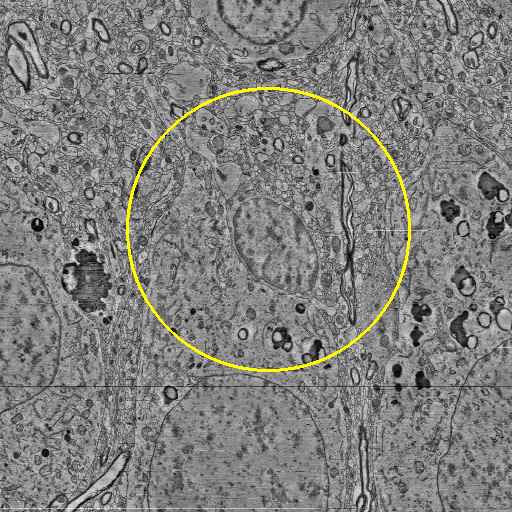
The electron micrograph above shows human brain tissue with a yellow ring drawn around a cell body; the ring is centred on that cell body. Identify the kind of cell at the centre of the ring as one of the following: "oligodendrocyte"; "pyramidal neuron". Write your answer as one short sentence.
The cell at the centre of the ring is an oligodendrocyte.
